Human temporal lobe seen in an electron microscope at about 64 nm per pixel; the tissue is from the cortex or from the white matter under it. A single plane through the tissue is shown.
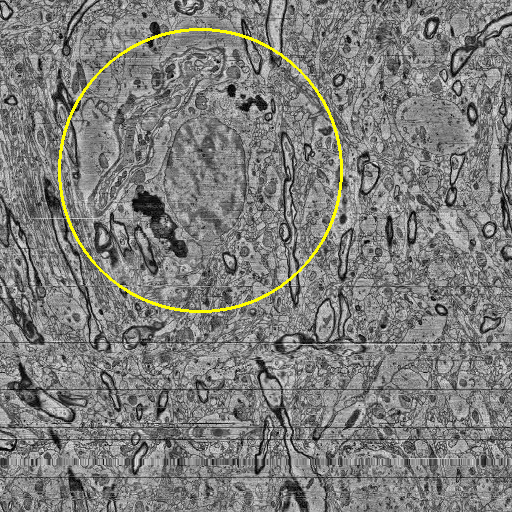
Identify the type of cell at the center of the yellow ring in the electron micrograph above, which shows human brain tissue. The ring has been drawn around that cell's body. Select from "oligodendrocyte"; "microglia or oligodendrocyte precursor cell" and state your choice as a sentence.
The yellow ring is centered on the body of an oligodendrocyte.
